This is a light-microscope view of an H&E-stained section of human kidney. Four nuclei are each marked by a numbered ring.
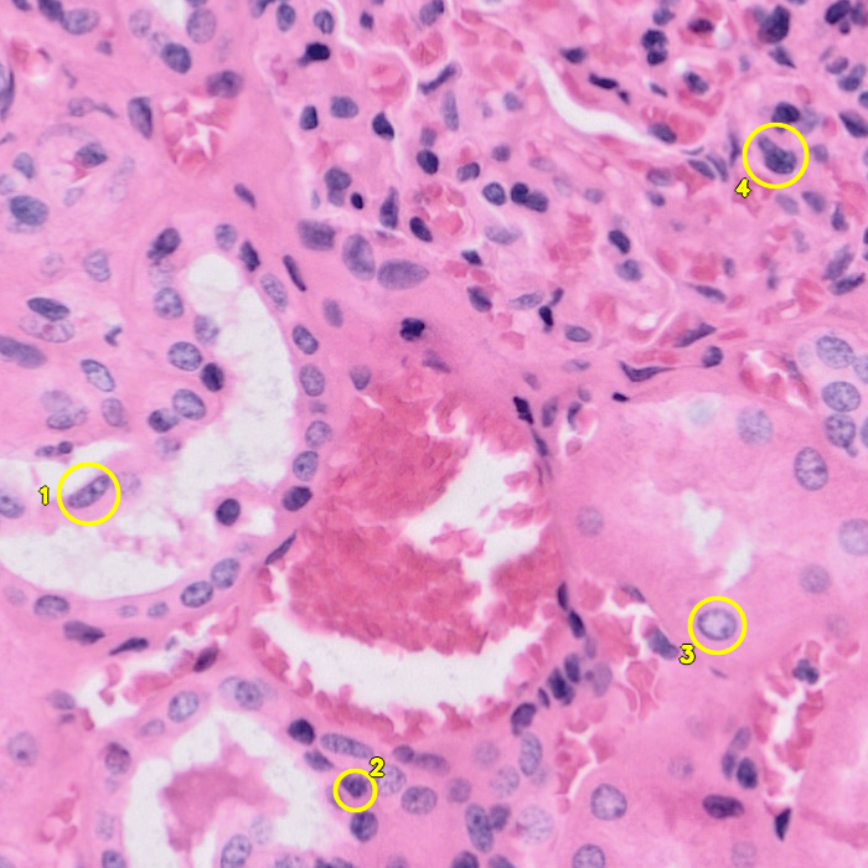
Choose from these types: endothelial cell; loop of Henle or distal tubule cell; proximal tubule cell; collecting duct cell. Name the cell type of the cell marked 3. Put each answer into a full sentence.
It is as a proximal tubule cell that the cell numbered 3 is identified.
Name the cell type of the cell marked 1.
Identified as a collecting duct cell is the cell bearing the number 1.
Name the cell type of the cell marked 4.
Identified as an endothelial cell is the cell bearing the number 4.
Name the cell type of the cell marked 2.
Belonging to a collecting duct cell is the nucleus that carries the number 2.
